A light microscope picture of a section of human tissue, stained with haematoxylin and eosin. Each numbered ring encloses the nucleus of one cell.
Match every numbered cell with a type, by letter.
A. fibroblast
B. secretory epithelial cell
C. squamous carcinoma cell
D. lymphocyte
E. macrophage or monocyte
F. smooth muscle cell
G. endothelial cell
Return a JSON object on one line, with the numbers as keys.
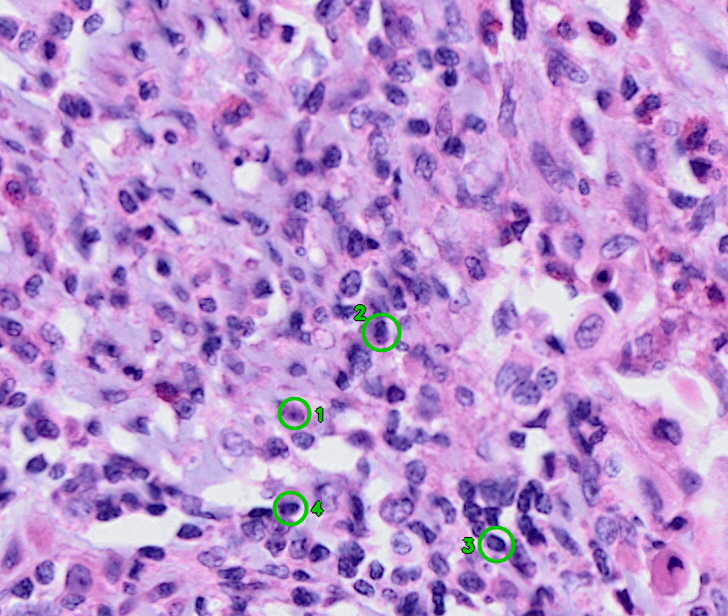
{"1": "E", "2": "D", "3": "D", "4": "D"}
